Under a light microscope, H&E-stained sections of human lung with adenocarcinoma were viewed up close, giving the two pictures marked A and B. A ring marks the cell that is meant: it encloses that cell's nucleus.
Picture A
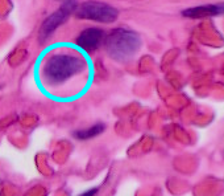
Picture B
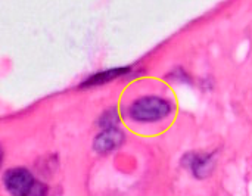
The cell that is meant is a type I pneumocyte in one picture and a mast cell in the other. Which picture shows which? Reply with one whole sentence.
The cell in picture A is a type I pneumocyte, and the one in picture B is a mast cell.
